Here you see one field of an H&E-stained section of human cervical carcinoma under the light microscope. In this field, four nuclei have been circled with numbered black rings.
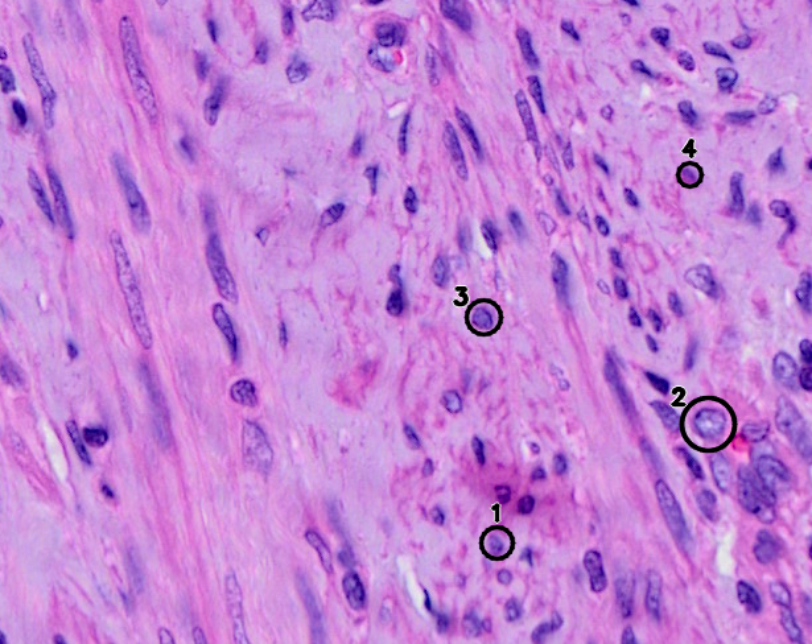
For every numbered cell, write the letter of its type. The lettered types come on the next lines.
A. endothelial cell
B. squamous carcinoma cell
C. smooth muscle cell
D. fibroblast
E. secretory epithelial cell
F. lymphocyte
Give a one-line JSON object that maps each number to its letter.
{"1": "C", "2": "A", "3": "C", "4": "C"}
